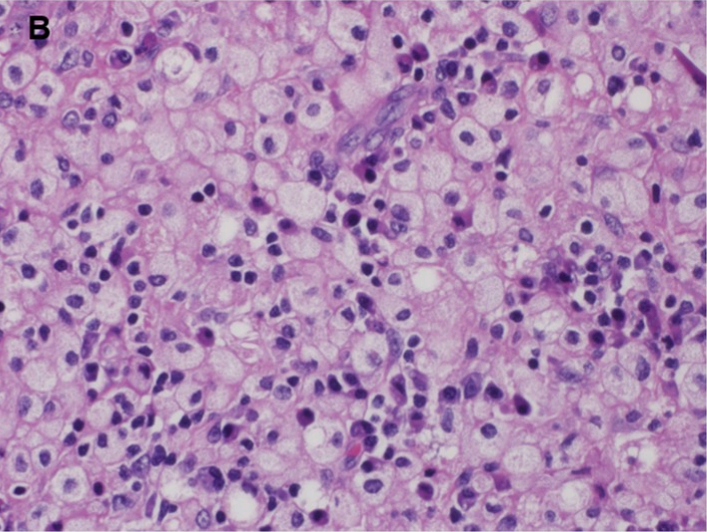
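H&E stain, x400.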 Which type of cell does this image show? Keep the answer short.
foamy histiocytes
